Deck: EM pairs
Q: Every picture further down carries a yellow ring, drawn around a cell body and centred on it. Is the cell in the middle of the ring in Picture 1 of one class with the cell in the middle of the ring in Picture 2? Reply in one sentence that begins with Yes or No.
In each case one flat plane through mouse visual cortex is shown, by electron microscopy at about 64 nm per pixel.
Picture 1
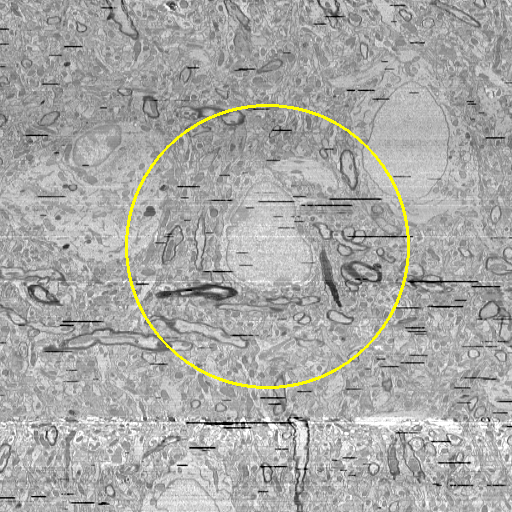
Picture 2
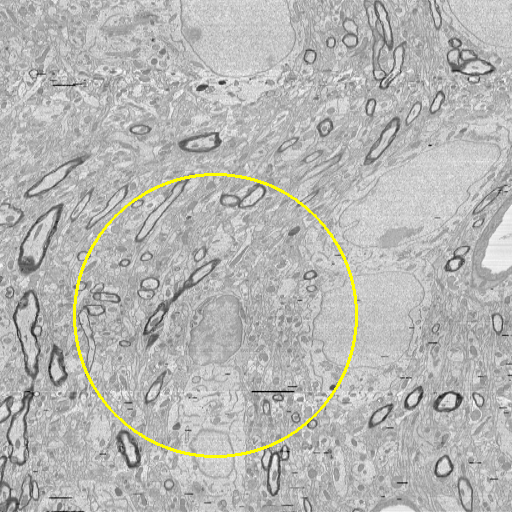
No, the cell centred in the ring of Picture 1 and the one in Picture 2 belong to separate classes.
